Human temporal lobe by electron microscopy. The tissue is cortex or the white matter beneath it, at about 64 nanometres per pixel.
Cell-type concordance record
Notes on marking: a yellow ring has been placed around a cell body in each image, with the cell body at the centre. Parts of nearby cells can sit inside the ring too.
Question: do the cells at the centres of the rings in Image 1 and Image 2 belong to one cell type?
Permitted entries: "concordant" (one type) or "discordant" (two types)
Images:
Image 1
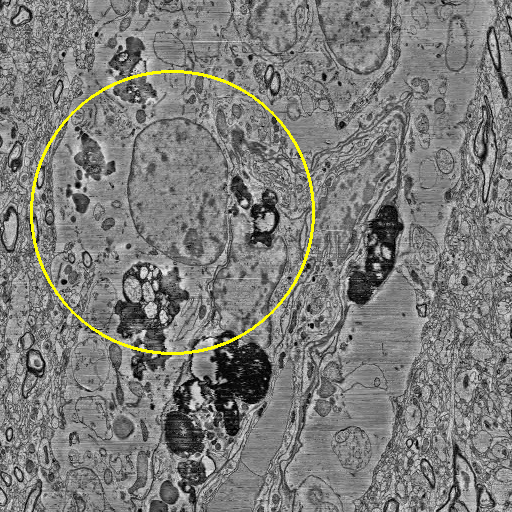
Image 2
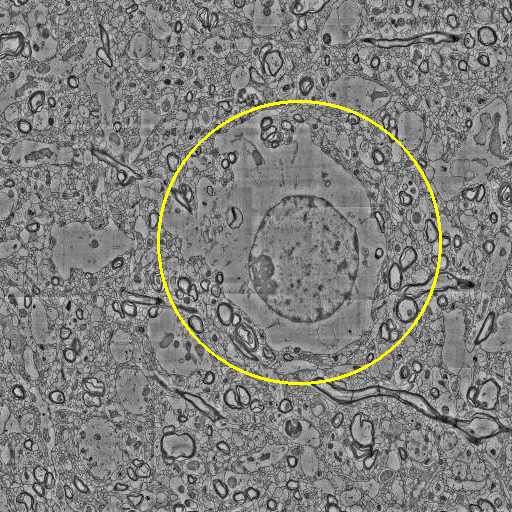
concordant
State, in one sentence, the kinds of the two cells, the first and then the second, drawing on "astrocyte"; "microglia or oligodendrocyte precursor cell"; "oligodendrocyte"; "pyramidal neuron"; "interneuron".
The second cell is an astrocyte, just as the first is.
